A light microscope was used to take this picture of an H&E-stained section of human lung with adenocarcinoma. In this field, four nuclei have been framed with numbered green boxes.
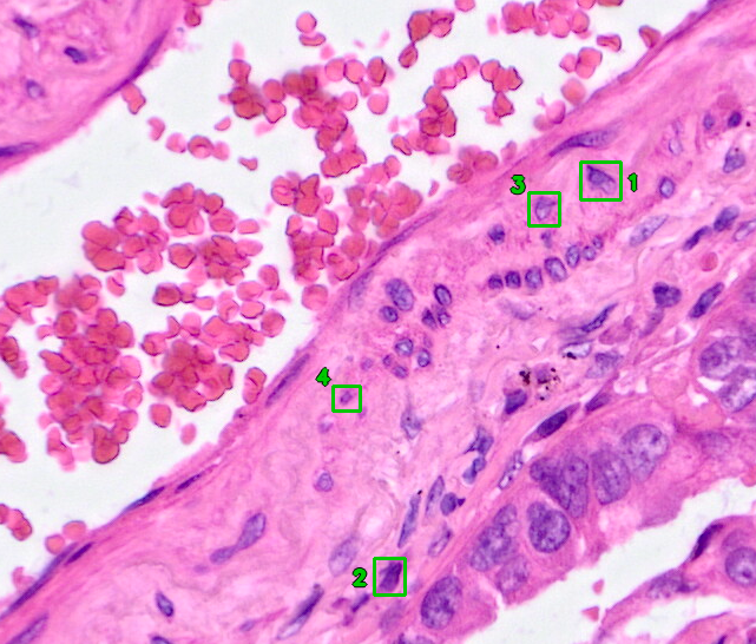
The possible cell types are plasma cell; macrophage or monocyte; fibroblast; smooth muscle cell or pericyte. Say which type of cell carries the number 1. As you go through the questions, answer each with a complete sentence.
Here the cell numbered 1 is a smooth muscle cell or pericyte.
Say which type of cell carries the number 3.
Cell 3 of the marked set is a smooth muscle cell or pericyte.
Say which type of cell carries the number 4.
The numeral 4 marks a smooth muscle cell or pericyte in this section.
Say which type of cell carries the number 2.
The one numbered 2 among the marked cells is a plasma cell.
